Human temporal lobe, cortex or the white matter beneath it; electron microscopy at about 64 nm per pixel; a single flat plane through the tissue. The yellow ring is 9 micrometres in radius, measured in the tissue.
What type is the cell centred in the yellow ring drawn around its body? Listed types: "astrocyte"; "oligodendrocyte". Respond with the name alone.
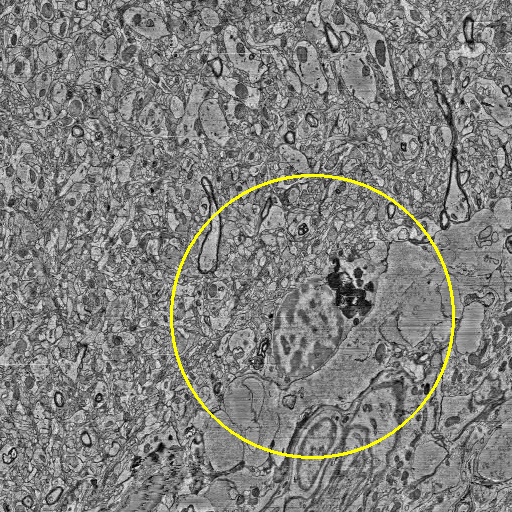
oligodendrocyte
